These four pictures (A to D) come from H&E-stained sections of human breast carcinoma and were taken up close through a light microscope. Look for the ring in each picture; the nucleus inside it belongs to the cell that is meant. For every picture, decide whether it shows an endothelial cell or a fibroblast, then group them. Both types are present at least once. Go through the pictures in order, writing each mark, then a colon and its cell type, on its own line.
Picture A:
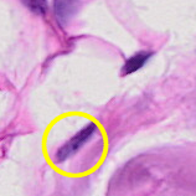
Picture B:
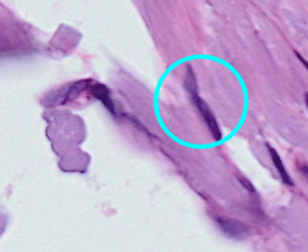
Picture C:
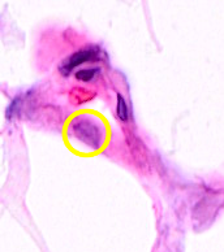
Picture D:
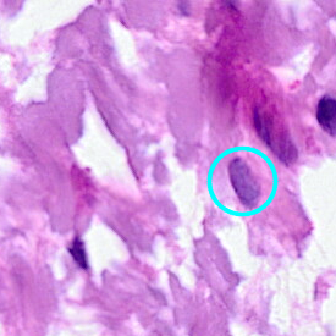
A: fibroblast
B: fibroblast
C: endothelial cell
D: fibroblast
